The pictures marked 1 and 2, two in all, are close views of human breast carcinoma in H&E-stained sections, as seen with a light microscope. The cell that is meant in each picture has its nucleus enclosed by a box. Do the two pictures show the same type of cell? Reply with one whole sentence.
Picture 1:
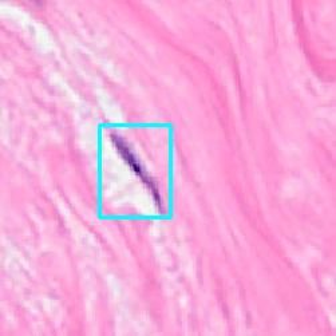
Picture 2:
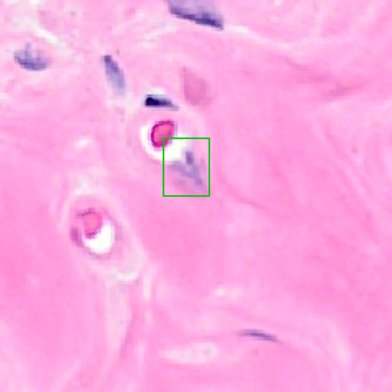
No, the types are not the same, since picture 1 shows a fibroblast and picture 2 an endothelial cell.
